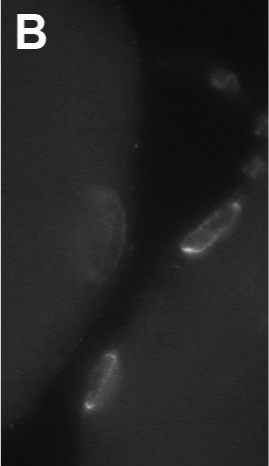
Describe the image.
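Two elongated, oval nuclei lying along the edge of a muscle fibre are outlined by thin, bright rims of signal, while their interiors are dim. The muscle fibres themselves show only a faint, diffuse grey background. A dark band runs diagonally between two fibre regions, and the labelled nuclei sit along this boundary.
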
